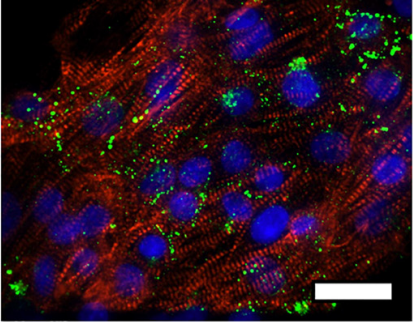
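This sheet of cultured cardiomyocytes shows red, cross-striated fibrils running in bundles through the cytoplasm of closely packed cells. Green dots are scattered over the cells, some gathered in small clusters and some in short rows between neighbouring cells.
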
